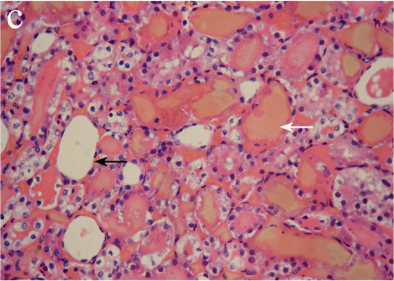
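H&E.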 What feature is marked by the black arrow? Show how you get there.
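The marked tubule is a round empty space outlined by a thin rim. Its rim has little or no epithelial lining with nuclei. So: bare basement membrane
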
